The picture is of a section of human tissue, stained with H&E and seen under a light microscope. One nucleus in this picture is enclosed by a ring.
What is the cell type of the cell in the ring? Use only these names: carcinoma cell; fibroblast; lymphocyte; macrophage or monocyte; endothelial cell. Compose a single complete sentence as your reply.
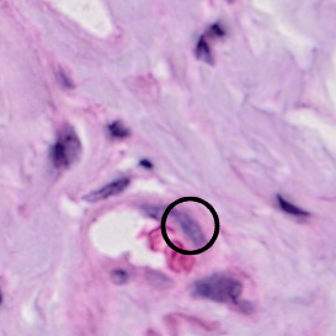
It is an endothelial cell that the cell in the ring represents.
